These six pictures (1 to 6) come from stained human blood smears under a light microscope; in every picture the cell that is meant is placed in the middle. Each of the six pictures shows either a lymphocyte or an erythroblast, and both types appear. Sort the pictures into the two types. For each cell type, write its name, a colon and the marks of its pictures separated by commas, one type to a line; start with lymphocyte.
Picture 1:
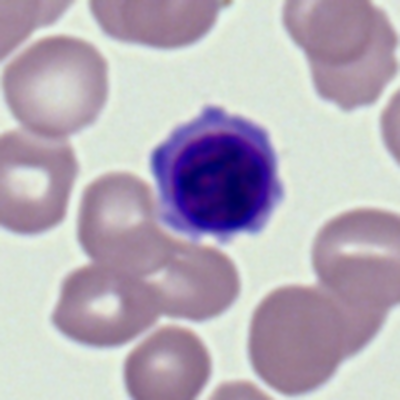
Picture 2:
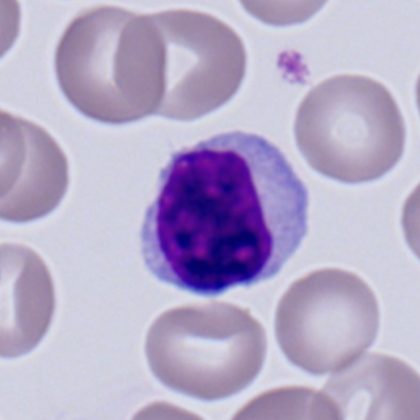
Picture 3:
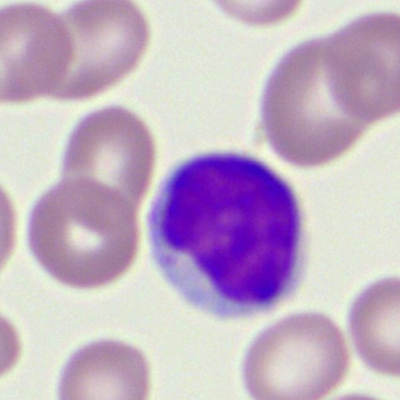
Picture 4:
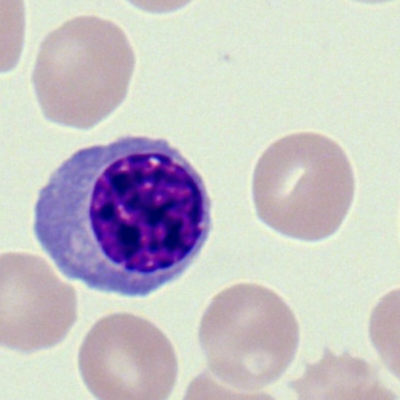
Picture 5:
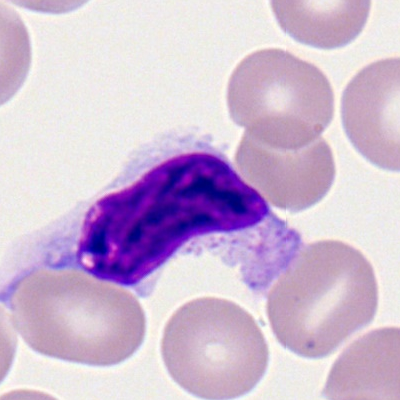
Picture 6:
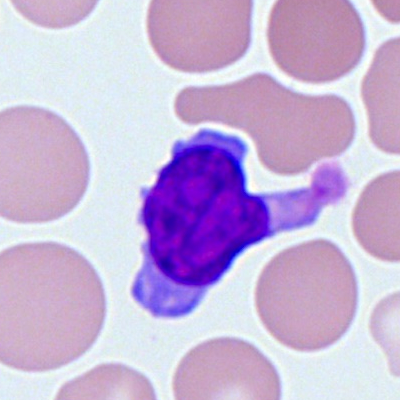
lymphocyte: 2, 3, 5, 6
erythroblast: 1, 4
